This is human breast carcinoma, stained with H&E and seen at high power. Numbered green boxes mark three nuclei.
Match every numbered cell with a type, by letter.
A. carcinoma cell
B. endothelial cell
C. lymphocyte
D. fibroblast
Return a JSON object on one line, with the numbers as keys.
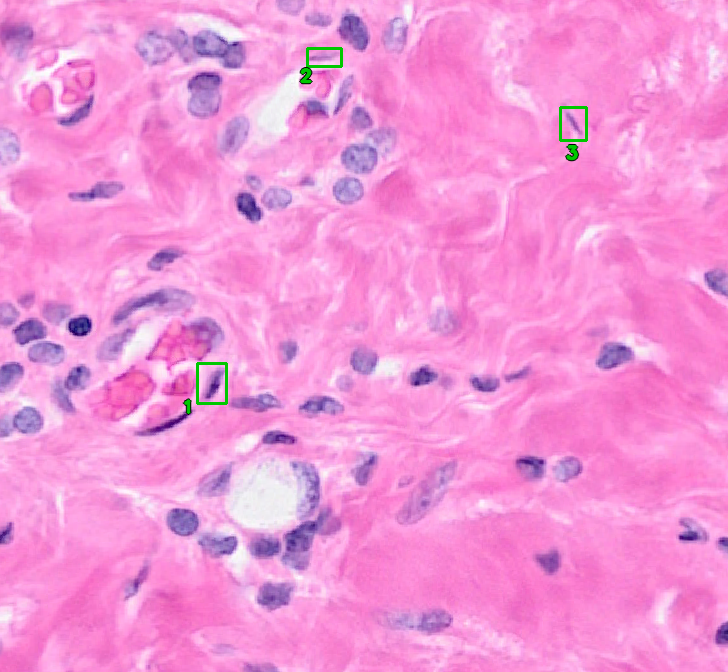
{"1": "B", "2": "B", "3": "D"}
